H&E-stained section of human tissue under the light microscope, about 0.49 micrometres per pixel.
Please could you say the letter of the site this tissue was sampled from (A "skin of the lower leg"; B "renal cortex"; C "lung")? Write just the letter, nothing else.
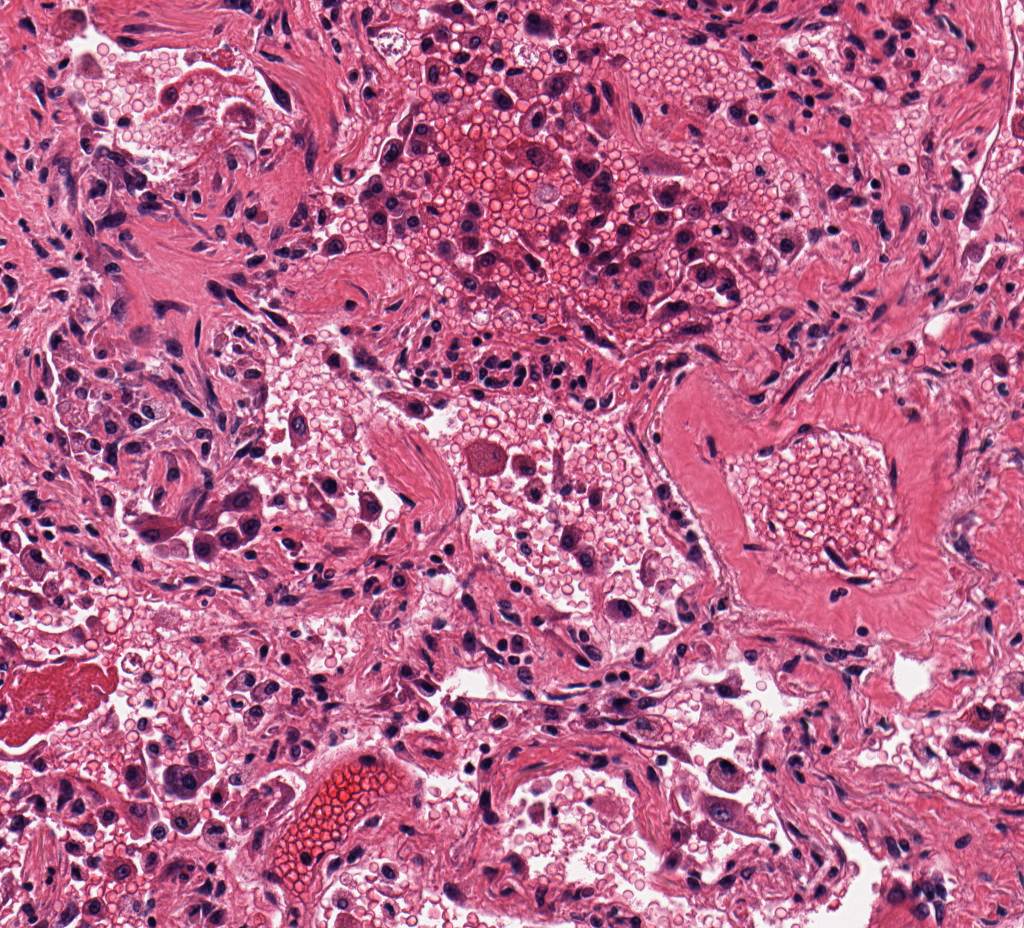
C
